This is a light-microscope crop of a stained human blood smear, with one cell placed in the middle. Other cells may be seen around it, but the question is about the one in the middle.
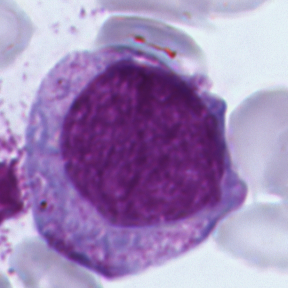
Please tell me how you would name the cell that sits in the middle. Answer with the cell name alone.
promyelocyte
